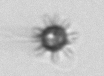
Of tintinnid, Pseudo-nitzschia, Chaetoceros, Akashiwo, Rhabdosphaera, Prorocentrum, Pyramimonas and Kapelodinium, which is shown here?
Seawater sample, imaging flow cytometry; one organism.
Rhabdosphaera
